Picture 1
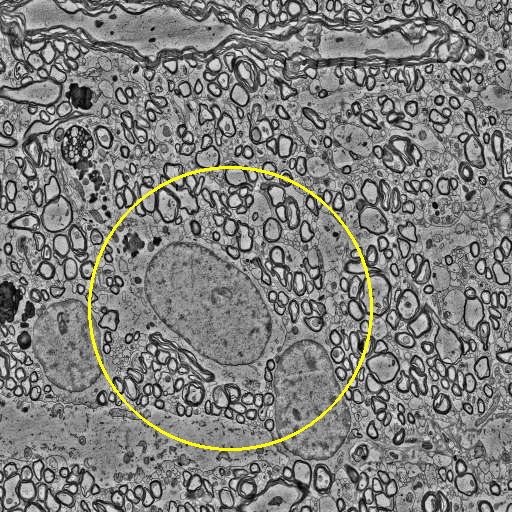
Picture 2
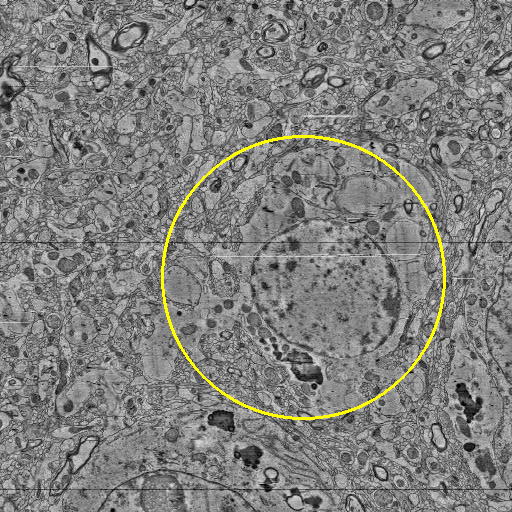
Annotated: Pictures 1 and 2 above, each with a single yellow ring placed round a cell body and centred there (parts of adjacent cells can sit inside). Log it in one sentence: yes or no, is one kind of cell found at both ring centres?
Yes, the ring centres of the two pictures hold cells of one kind.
